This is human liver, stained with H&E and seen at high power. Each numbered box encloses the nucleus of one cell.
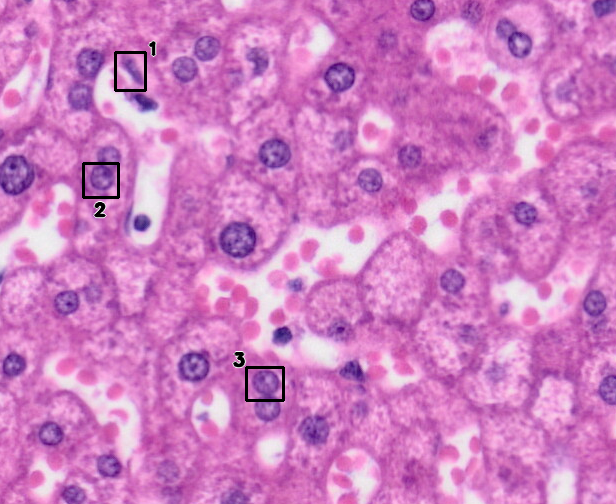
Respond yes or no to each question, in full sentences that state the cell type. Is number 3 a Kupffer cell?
No, cell 3 is not a Kupffer cell; a hepatocyte is the correct identification.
